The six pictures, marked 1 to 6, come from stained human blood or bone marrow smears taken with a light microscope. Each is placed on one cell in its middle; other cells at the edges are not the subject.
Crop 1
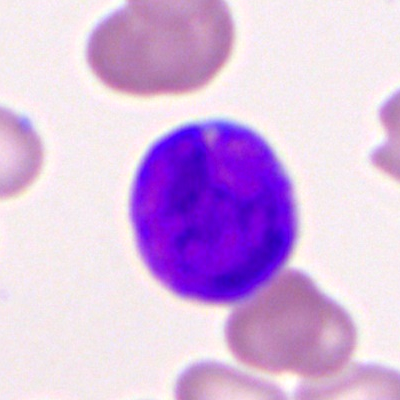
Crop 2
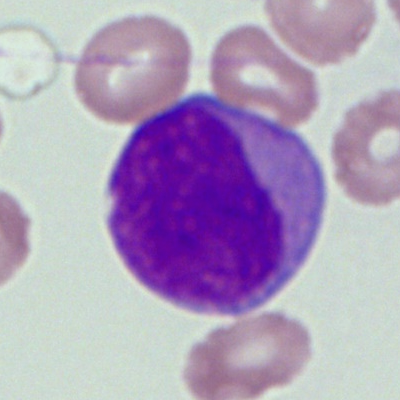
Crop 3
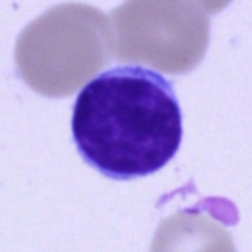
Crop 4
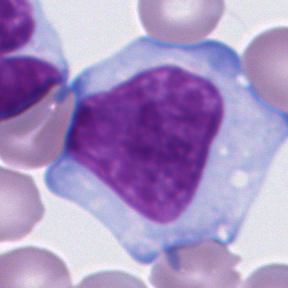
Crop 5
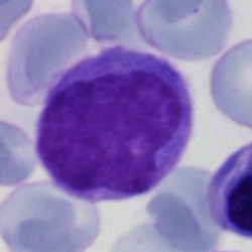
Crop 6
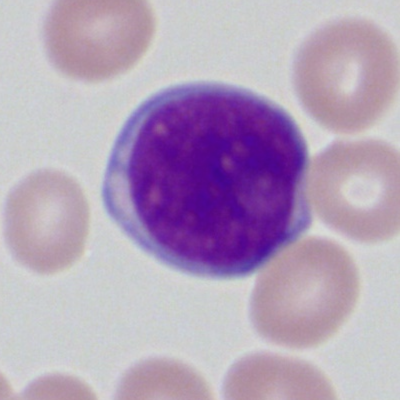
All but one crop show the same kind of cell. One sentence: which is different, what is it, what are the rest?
What sets crop 3 apart is that it is a lymphocyte; the others are all blasts.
